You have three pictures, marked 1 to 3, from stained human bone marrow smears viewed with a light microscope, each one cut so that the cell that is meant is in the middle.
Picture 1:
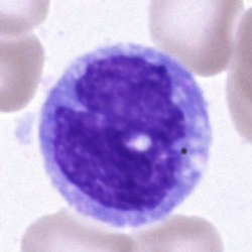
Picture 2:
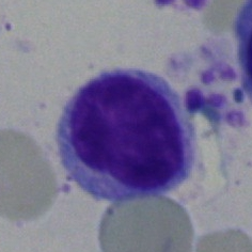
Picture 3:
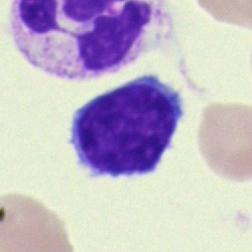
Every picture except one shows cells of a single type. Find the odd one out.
1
